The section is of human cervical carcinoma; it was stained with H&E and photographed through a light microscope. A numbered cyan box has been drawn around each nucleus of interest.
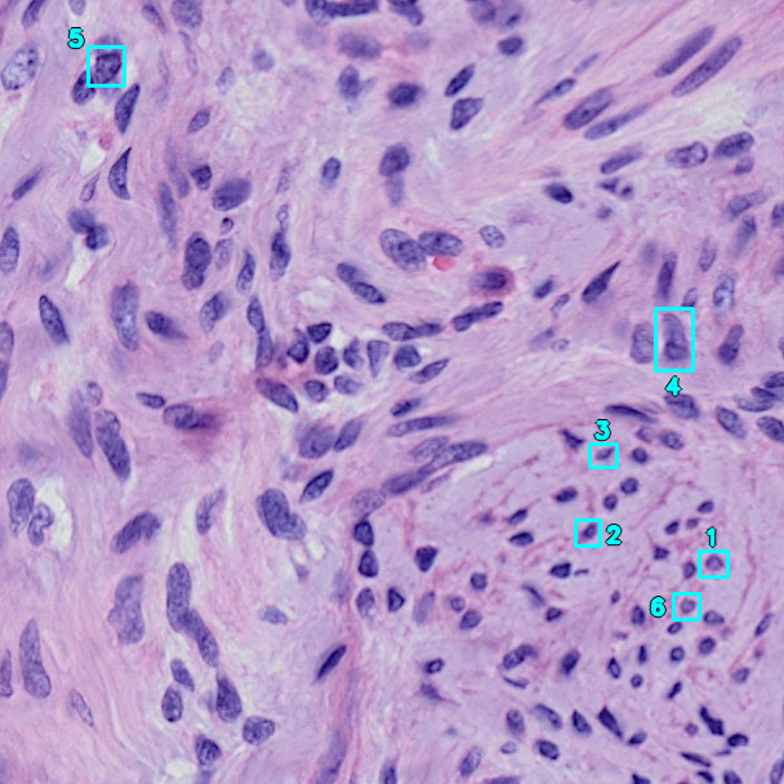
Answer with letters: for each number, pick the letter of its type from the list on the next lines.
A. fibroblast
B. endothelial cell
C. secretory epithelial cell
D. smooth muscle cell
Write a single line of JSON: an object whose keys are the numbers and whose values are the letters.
{"1": "D", "2": "D", "3": "D", "4": "A", "5": "B", "6": "D"}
